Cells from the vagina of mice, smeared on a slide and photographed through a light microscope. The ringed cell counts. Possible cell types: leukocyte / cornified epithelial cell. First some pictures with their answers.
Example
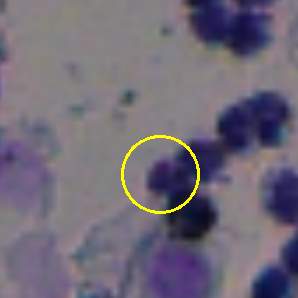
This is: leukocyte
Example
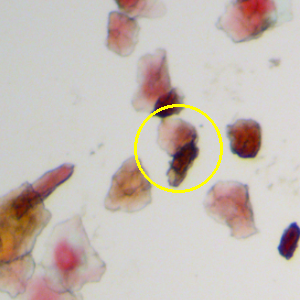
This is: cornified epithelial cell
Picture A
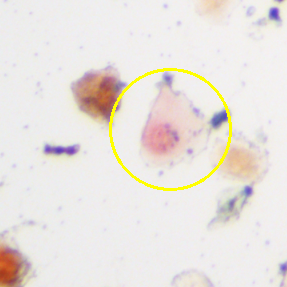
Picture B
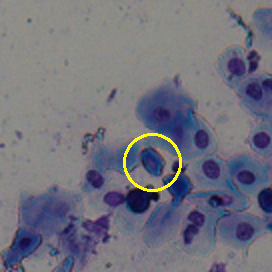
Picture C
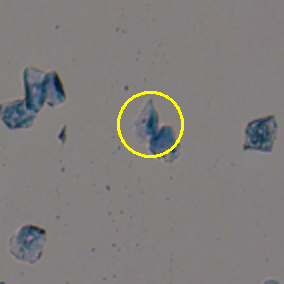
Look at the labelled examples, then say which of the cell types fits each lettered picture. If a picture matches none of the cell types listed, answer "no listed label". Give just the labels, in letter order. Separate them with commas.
no listed label, no listed label, cornified epithelial cell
